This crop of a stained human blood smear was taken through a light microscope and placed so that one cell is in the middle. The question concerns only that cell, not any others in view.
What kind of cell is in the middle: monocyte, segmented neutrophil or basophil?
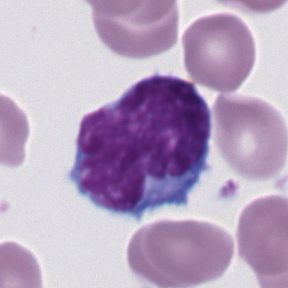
monocyte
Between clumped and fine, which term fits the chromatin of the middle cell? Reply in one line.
In this nucleus, the chromatin is arranged in coarse clumps.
